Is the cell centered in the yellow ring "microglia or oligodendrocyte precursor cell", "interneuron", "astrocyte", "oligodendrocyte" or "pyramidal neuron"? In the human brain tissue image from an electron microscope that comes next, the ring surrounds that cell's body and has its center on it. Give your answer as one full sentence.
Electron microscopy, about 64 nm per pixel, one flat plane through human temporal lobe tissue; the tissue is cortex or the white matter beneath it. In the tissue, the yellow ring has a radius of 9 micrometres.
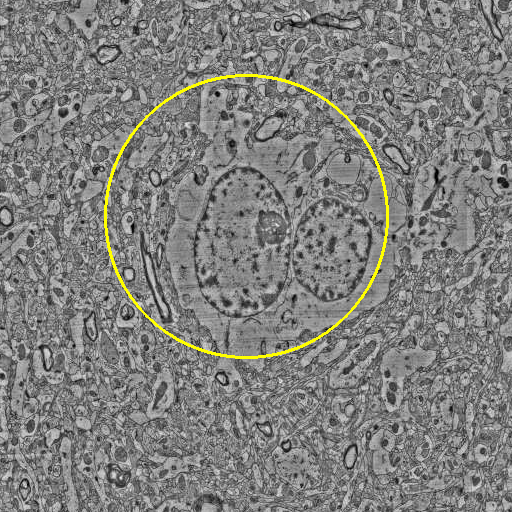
The cell at the center of the yellow ring is an astrocyte in the micrograph.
